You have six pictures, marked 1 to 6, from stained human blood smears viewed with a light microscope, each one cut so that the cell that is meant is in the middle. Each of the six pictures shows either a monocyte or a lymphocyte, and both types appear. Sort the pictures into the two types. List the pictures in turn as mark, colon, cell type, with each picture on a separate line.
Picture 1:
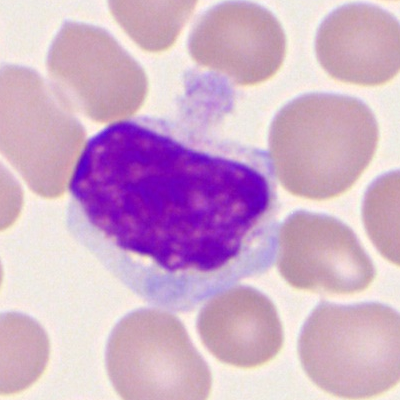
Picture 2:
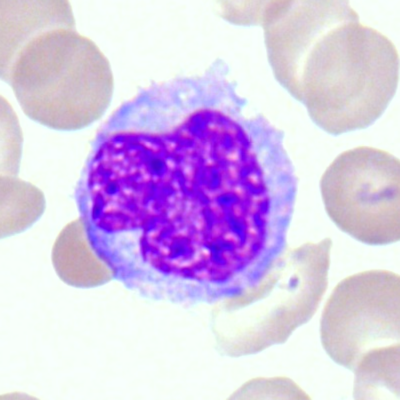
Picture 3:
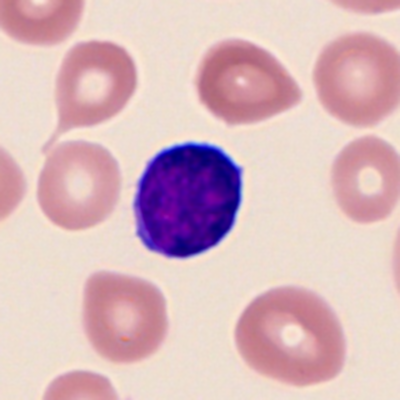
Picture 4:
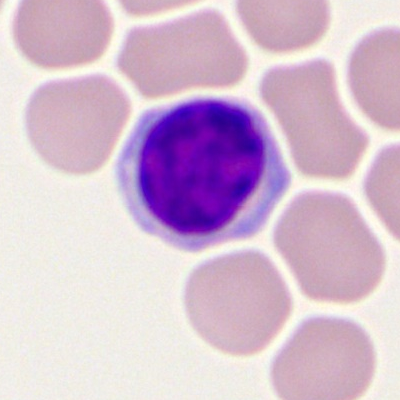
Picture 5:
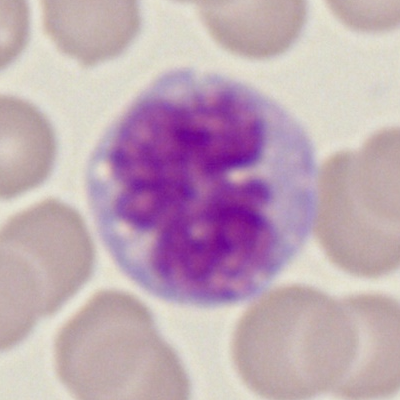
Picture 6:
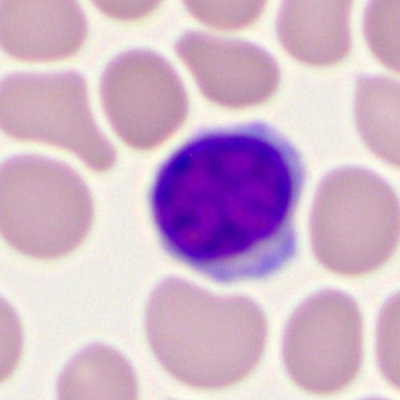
1: monocyte
2: monocyte
3: lymphocyte
4: lymphocyte
5: monocyte
6: lymphocyte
